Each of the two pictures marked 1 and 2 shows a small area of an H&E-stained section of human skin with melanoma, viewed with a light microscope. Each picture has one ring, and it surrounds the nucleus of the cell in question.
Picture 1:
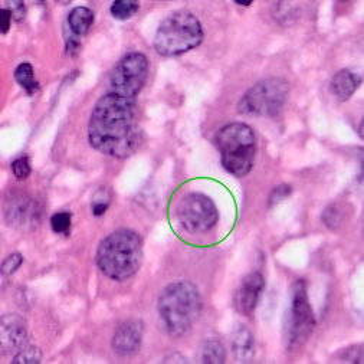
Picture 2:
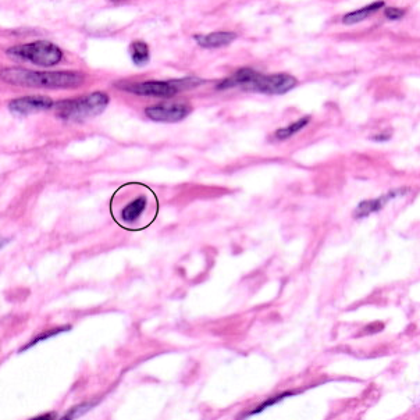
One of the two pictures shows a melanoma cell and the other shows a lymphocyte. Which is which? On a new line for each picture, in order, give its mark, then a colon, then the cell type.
1: melanoma cell
2: lymphocyte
